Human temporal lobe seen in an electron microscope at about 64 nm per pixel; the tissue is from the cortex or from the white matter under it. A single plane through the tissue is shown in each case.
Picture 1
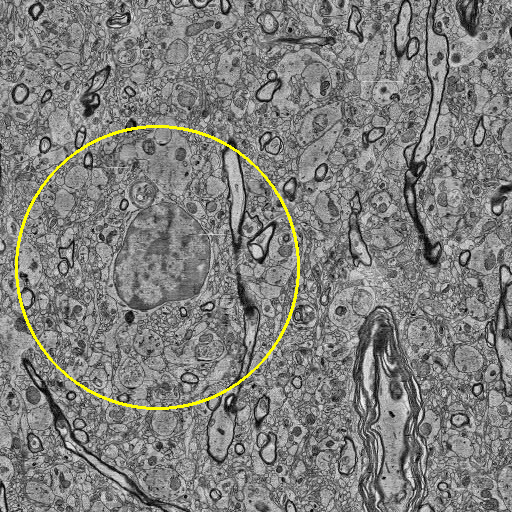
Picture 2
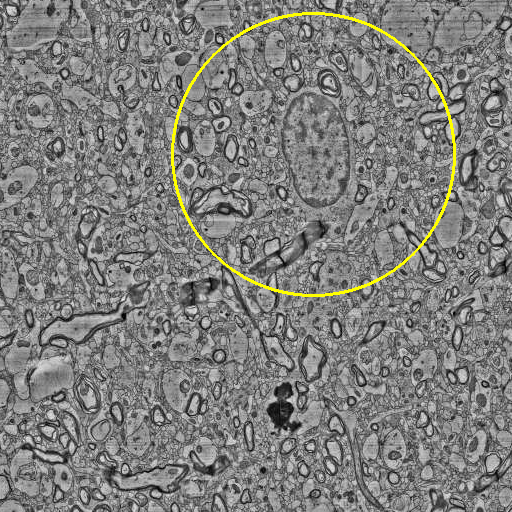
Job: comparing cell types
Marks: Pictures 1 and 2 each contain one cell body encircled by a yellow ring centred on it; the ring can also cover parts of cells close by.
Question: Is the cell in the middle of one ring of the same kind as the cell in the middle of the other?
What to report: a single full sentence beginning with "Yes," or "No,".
No, the cell at the ring centre in Picture 1 and its partner in Picture 2 are of two kinds.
